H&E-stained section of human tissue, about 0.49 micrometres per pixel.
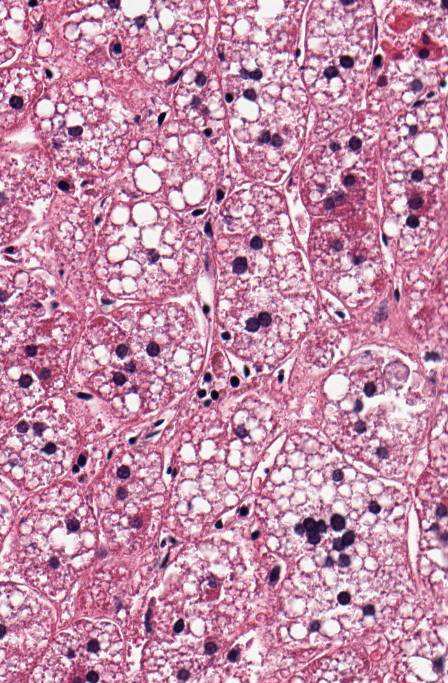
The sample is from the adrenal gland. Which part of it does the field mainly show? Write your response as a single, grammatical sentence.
In this image of a tissue section, the part is named zona fasciculata.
